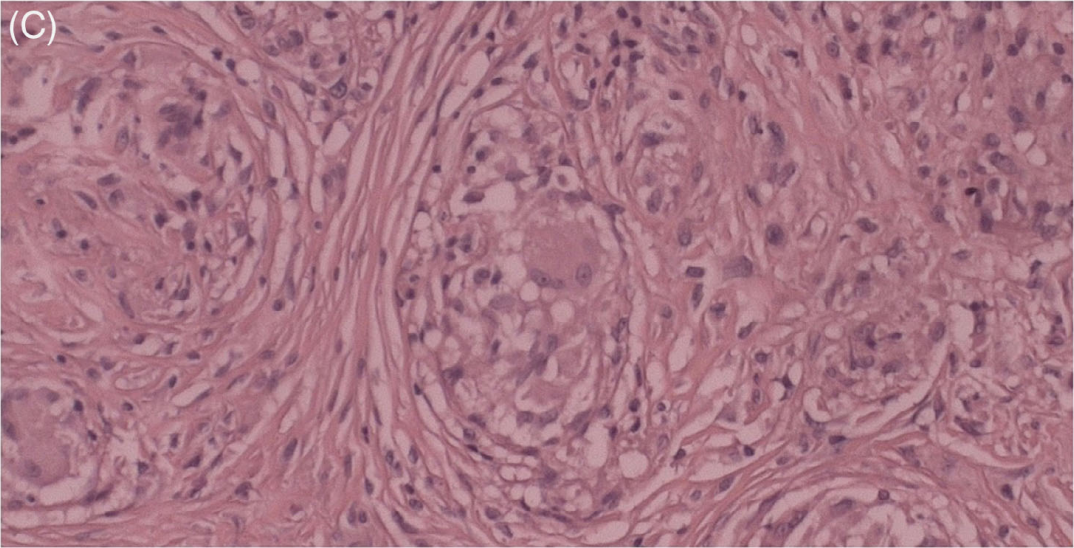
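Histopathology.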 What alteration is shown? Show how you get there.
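Granulomatous reaction. Rounded nodules of closely packed pale cells. Nodules are separated by bands of pink fibrous tissue.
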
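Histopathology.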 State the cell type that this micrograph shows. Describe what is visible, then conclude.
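Large cells with abundant pink cytoplasm near the centres of the nodules. These large cells hold several nuclei. So: multinucleated giant cells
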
